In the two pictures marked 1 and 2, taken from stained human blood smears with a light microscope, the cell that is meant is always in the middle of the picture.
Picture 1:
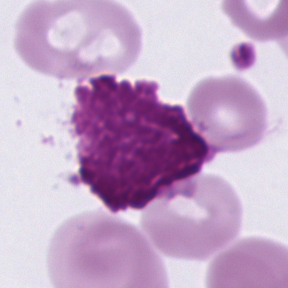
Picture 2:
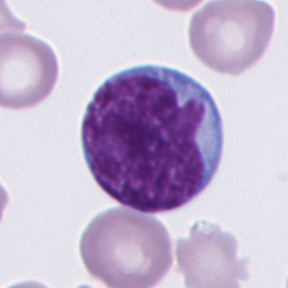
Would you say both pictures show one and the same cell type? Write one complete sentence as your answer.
No, the types are not the same, since picture 1 shows a smudge cell and picture 2 a myeloblast.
